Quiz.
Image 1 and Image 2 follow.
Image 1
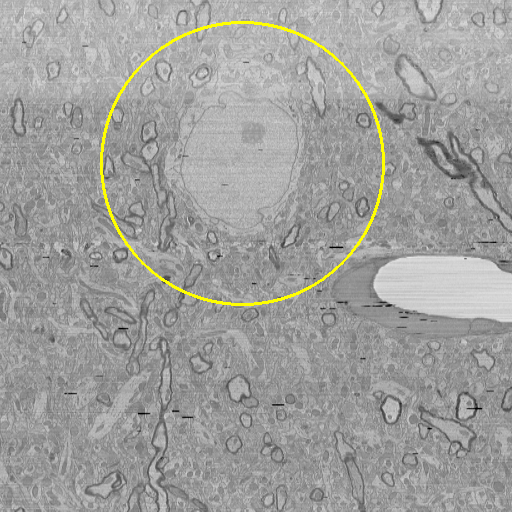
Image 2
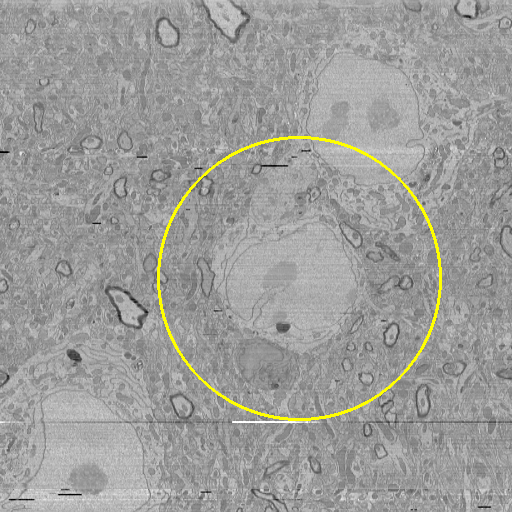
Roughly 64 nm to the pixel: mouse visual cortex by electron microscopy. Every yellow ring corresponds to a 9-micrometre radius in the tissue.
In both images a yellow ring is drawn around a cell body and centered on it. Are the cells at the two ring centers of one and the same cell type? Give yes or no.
yes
